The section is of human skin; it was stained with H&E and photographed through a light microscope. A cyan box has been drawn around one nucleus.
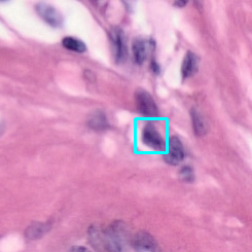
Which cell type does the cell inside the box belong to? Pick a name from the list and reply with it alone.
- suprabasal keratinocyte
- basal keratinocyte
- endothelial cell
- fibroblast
endothelial cell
